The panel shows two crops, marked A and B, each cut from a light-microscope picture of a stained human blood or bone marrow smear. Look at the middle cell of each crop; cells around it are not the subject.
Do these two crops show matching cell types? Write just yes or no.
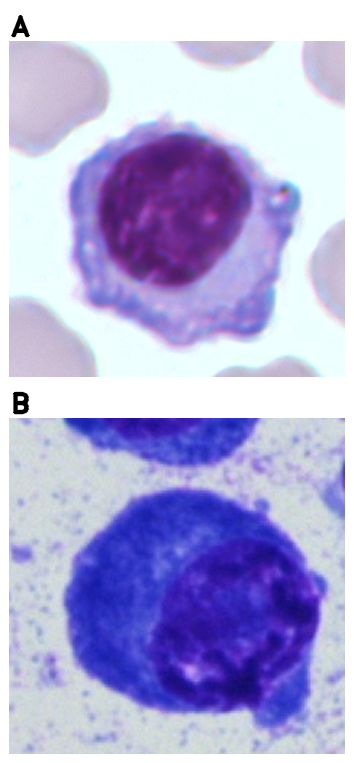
yes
